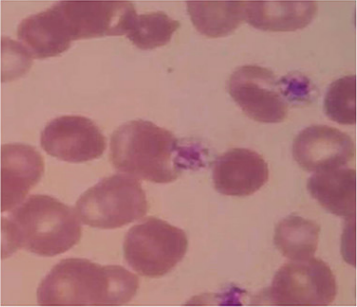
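This is a peripheral blood smear with red cells and a few enlarged platelets. The red cells are pink, round to slightly oval discs with central pallor, partly overlapping one another. A small number of purple, granular platelets lie between them, some resting at the edge of a red cell. These platelets are larger than usual, reaching about half the diameter of a red cell. Few platelets are seen in the field, in keeping with large and scarce platelets.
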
